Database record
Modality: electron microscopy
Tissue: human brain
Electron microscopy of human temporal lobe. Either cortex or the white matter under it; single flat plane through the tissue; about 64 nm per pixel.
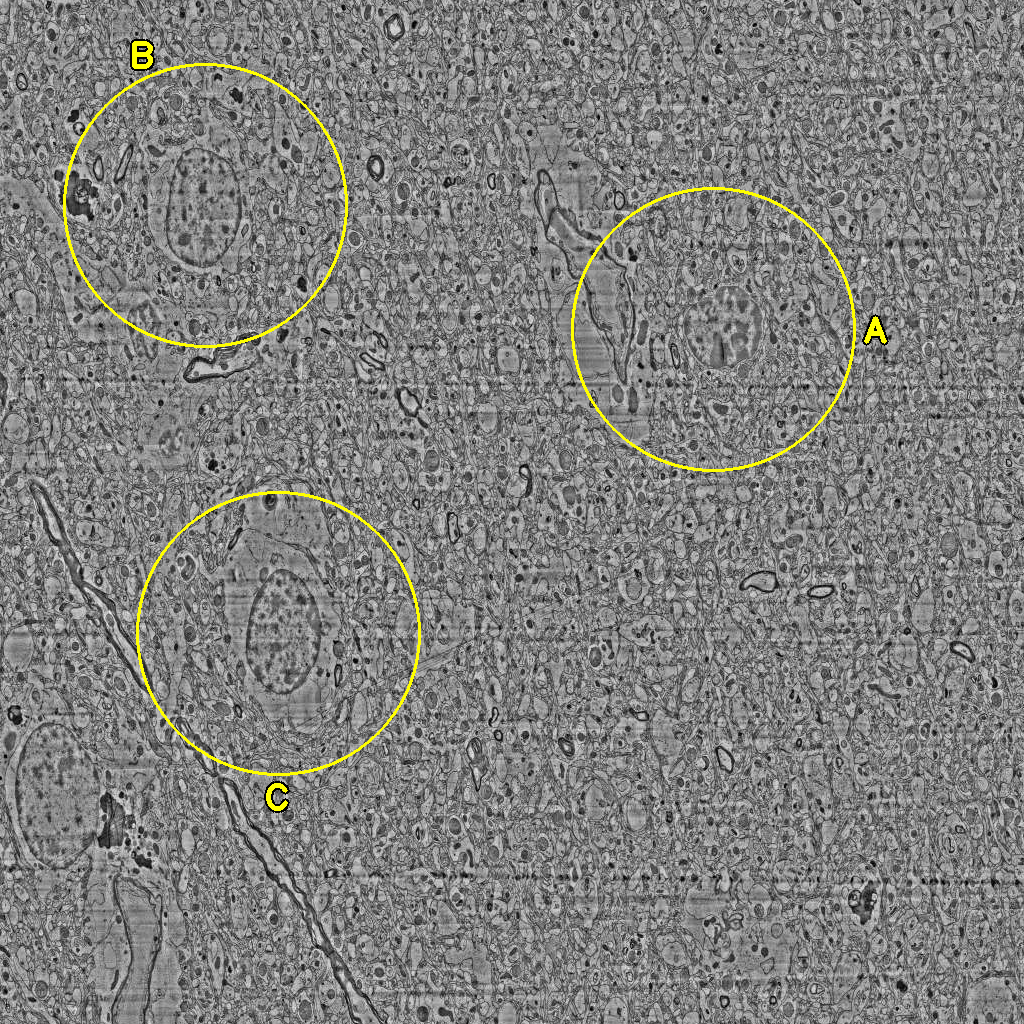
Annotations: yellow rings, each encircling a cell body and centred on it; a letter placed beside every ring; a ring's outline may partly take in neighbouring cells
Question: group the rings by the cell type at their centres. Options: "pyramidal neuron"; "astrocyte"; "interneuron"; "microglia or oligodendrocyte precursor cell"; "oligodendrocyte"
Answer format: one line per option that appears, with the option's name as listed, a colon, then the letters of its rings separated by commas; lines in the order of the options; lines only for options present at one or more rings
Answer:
astrocyte: B, C
microglia or oligodendrocyte precursor cell: A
